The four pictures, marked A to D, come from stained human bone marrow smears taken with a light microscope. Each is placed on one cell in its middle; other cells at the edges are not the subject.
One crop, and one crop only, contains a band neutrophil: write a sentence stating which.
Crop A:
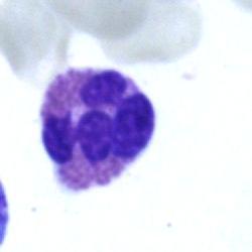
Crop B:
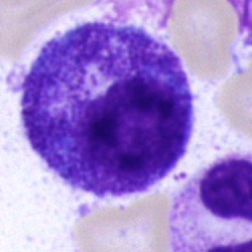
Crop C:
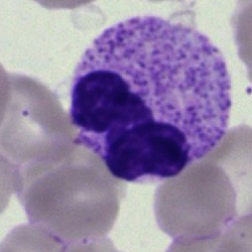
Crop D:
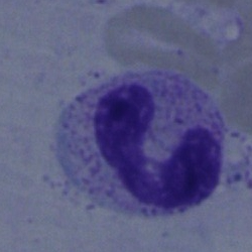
The crop that shows a band neutrophil is crop D.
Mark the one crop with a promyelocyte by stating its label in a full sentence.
Of all the crops, crop B is the one showing a promyelocyte.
